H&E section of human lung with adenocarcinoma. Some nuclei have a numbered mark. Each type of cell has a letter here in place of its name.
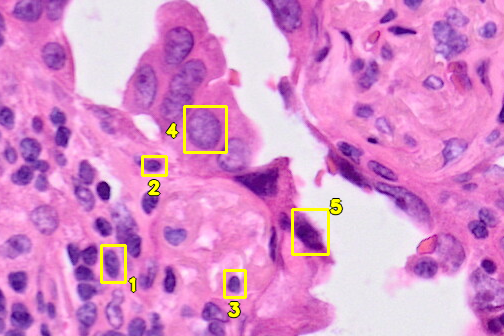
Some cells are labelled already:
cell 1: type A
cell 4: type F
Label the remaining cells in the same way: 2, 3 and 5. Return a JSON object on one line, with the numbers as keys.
{"2": "type A", "3": "type A", "5": "type F"}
